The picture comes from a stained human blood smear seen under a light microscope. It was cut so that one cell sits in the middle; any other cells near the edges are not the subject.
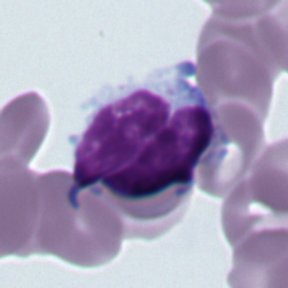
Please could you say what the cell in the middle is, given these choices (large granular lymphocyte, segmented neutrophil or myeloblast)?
large granular lymphocyte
